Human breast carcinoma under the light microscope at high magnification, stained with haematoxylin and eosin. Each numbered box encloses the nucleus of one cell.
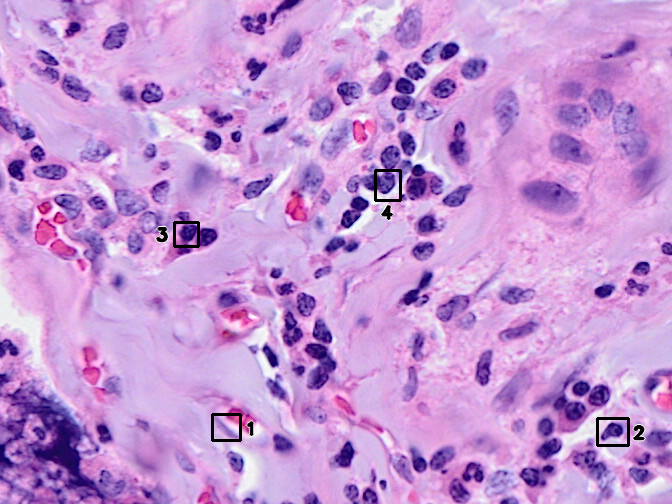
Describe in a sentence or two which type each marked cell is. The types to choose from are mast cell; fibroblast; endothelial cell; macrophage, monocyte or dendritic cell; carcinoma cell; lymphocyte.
Cell 1 is an endothelial cell, cell 2 is a lymphocyte, cell 3 is a lymphocyte and cell 4 is a lymphocyte.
